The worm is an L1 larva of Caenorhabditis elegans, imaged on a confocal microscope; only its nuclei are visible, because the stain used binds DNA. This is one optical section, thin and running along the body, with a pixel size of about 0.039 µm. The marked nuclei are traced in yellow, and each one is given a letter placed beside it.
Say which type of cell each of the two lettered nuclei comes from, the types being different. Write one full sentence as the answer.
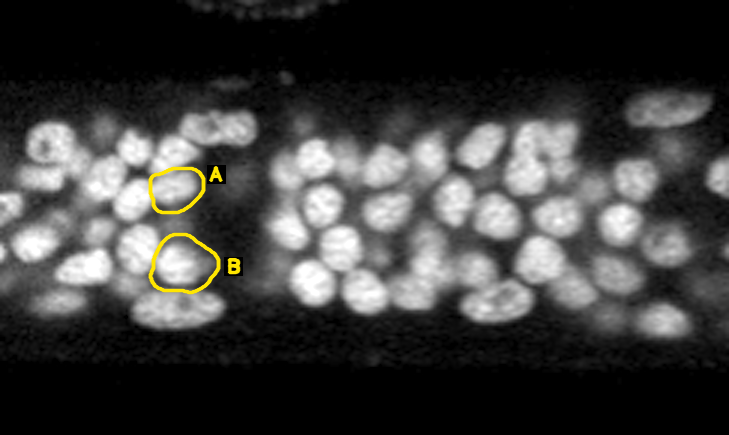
One is from a neuron, namely A, and the other, B, is from a glial cell (sheath or socket).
